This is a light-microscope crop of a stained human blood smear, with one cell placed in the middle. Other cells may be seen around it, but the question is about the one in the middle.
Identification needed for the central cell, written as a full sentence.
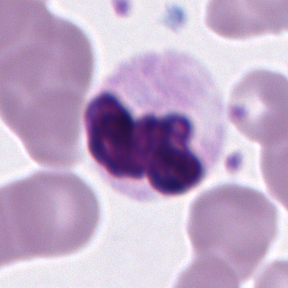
The cell at the middle of the crop is recognized as a segmented neutrophil.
